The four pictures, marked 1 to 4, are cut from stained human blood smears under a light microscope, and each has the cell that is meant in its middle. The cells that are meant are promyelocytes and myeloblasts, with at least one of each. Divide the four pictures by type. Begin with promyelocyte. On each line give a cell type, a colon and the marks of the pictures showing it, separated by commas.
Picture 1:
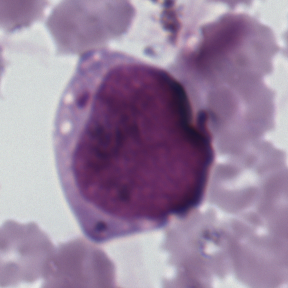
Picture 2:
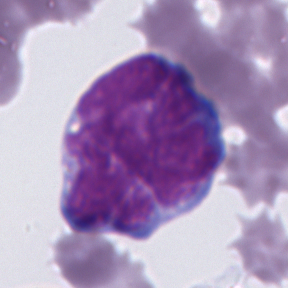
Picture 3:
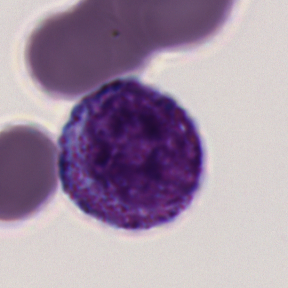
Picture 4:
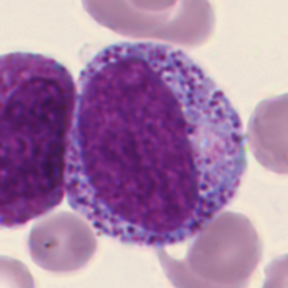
promyelocyte: 3, 4
myeloblast: 1, 2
